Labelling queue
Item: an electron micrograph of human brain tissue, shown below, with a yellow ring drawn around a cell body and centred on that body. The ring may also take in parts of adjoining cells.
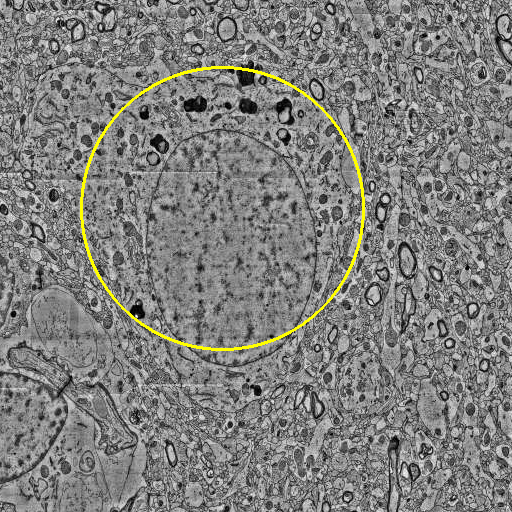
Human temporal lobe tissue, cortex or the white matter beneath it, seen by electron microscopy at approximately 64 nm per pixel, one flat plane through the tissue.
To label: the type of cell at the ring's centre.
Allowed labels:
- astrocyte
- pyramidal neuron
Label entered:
pyramidal neuron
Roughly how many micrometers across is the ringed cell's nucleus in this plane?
Roughly 15 by 11 micrometres in this plane, for the nucleus of the ringed cell.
